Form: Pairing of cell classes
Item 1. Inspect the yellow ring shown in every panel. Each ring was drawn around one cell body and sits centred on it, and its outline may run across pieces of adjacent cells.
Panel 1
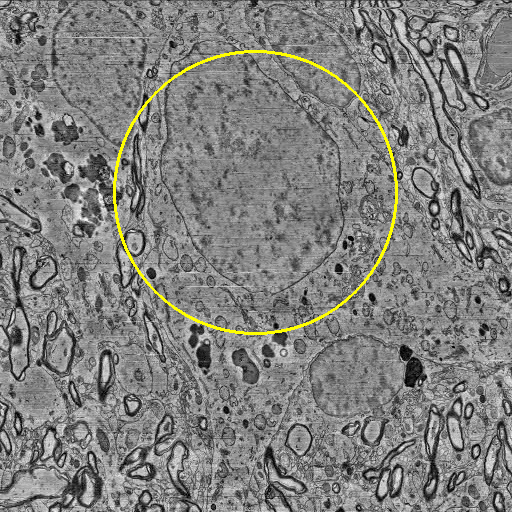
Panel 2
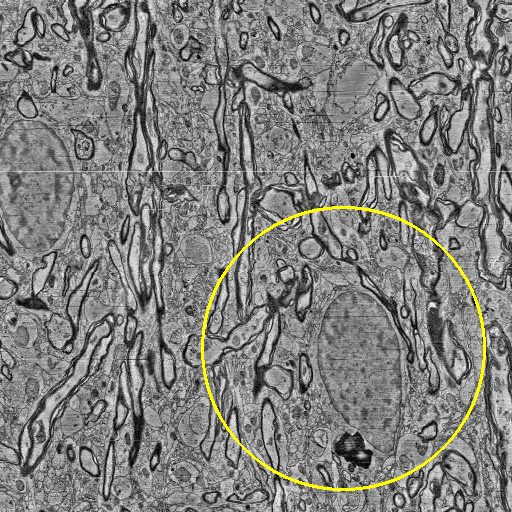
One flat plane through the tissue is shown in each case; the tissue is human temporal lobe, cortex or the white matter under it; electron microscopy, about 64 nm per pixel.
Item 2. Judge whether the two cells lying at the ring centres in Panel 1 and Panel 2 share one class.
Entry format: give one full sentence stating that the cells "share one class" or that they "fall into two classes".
The cells at the ring centres in Panel 1 and Panel 2 fall into two classes.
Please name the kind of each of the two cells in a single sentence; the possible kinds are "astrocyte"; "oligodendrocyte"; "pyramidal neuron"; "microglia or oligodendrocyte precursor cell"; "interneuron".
In the first picture the ring is centred on a pyramidal neuron, and in the second on an oligodendrocyte.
